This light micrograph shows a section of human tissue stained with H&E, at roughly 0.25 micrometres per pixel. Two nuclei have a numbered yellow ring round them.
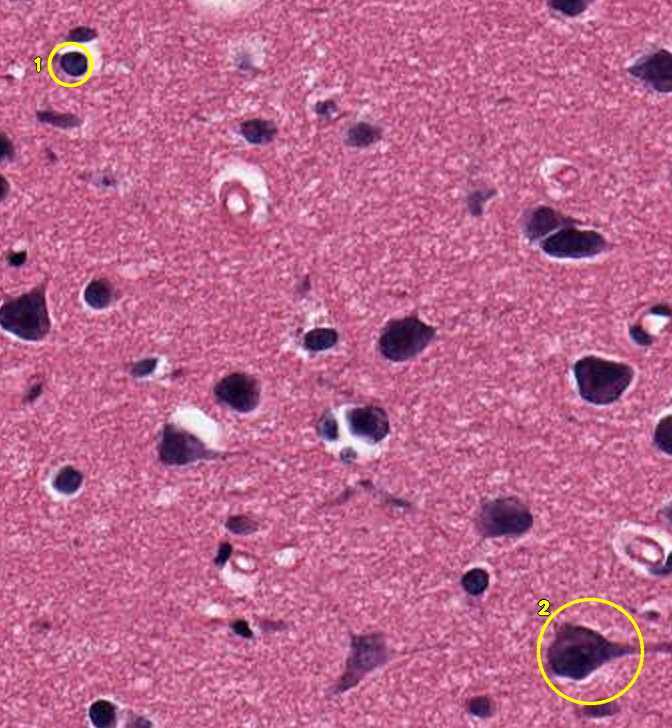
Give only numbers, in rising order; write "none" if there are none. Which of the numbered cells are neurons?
2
